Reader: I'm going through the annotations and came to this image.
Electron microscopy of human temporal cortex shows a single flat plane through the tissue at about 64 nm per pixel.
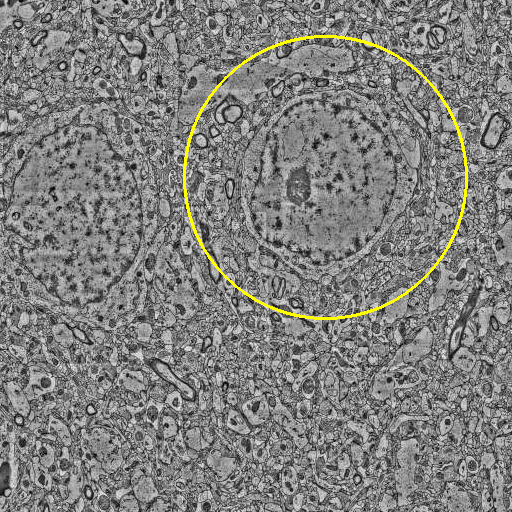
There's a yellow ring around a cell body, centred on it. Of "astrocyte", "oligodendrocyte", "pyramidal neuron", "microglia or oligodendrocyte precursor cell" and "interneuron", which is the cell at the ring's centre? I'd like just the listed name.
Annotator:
interneuron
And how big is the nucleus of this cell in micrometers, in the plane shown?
In this plane, roughly 10 micrometres across.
